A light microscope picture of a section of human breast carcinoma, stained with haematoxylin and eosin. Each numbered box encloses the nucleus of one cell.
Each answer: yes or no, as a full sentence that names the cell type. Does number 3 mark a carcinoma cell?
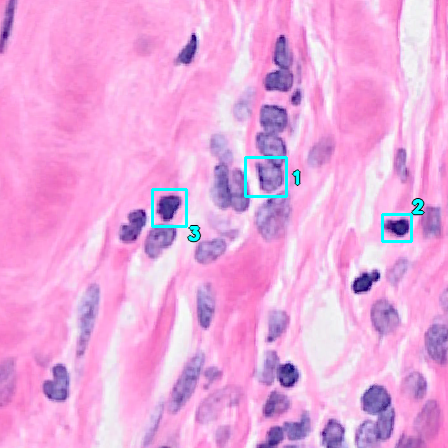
No, a carcinoma cell is not what cell 3 is; it is a lymphocyte.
